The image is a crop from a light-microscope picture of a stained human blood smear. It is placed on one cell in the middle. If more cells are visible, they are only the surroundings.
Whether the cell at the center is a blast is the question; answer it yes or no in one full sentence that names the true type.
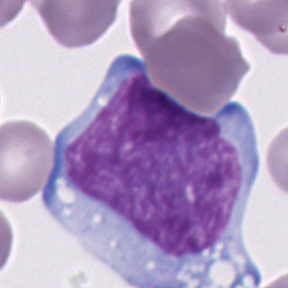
Yes, the cell in the middle of this smear crop is a blast.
